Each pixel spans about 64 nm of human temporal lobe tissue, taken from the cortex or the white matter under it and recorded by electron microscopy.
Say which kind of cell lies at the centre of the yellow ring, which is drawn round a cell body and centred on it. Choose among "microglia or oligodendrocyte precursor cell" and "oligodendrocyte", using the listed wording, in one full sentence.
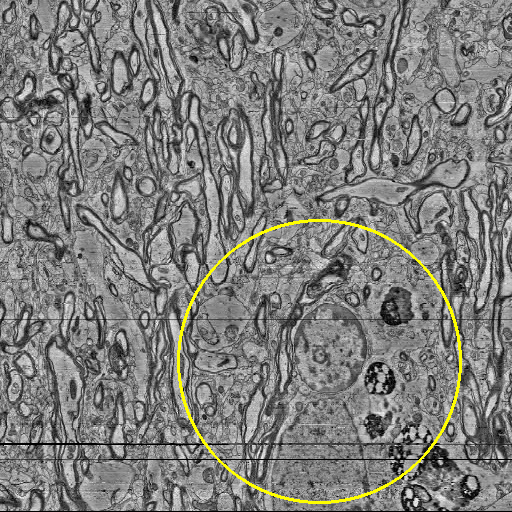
Going by the list, the cell at the yellow ring's centre is a microglial cell or oligodendrocyte precursor cell.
